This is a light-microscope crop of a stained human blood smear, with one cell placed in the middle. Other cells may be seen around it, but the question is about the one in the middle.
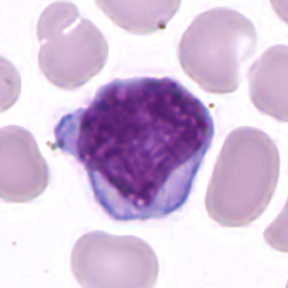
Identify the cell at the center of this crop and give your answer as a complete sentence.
This crop has a plasma cell at its centre.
